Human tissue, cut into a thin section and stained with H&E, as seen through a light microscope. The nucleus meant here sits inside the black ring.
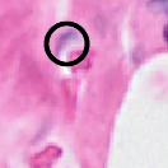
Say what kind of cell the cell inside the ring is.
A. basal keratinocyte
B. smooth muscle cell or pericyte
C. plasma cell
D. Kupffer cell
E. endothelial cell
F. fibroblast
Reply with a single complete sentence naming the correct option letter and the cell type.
Since the cell inside the ring is an endothelial cell, the right option is E.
